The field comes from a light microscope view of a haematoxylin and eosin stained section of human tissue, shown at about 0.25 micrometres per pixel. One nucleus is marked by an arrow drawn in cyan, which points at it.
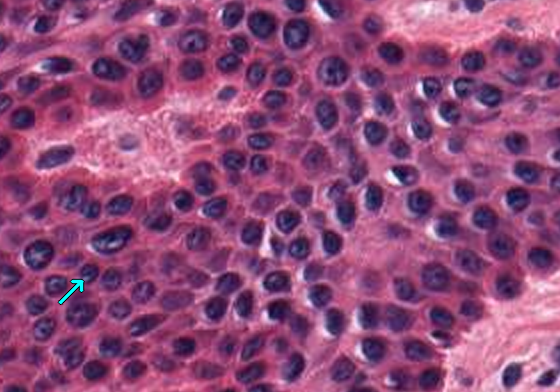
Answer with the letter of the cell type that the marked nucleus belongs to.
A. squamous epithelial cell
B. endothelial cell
A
